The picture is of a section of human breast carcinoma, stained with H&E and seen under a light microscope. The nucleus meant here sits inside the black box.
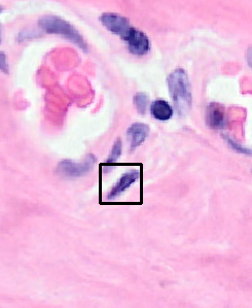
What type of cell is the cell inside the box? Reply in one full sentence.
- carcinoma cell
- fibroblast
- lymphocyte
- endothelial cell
Considered by cell type, the cell inside the box is a fibroblast.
